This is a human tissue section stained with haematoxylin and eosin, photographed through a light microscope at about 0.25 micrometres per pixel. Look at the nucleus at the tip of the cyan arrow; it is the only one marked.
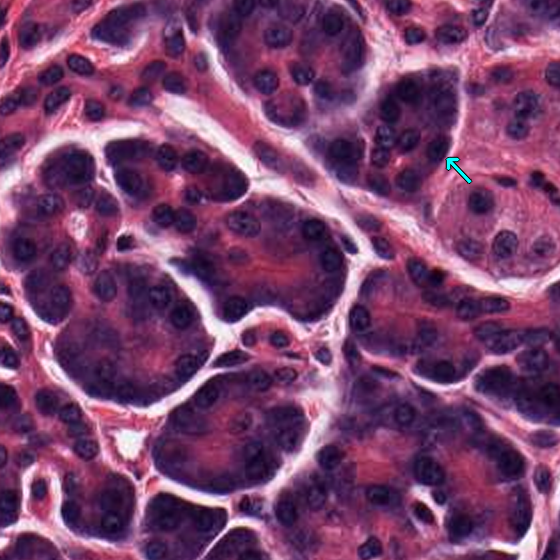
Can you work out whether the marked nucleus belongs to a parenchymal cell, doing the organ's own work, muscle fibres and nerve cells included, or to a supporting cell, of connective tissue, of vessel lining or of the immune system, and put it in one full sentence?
It is to a pancreatic acinar cell, a parenchymal cell, that the marked nucleus belongs.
